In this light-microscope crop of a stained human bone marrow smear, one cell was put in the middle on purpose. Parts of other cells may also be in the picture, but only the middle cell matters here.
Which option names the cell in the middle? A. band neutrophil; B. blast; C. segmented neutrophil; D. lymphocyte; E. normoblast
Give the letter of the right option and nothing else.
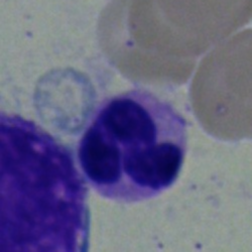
C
